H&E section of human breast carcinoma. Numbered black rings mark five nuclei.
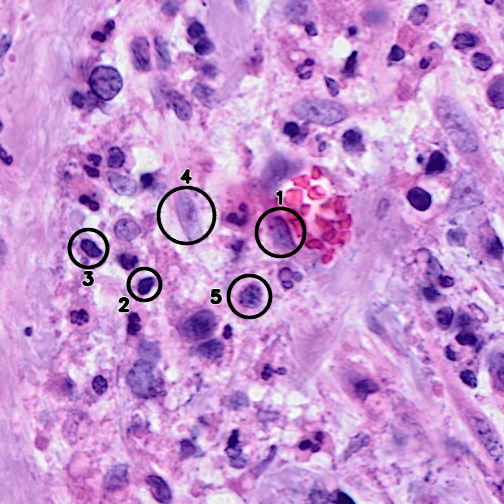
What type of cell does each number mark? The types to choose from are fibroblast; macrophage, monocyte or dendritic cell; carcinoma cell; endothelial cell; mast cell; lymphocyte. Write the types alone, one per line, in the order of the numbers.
endothelial cell
lymphocyte
lymphocyte
fibroblast
mast cell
